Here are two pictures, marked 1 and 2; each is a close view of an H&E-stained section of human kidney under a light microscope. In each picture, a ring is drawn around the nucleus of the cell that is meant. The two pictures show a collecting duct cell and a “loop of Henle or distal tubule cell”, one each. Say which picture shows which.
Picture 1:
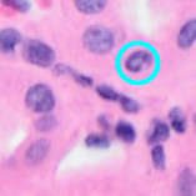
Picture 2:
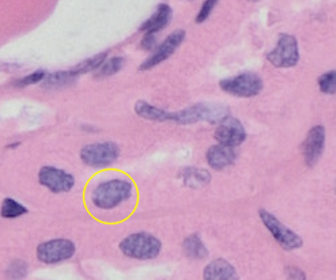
1: collecting duct cell
2: loop of Henle or distal tubule cell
